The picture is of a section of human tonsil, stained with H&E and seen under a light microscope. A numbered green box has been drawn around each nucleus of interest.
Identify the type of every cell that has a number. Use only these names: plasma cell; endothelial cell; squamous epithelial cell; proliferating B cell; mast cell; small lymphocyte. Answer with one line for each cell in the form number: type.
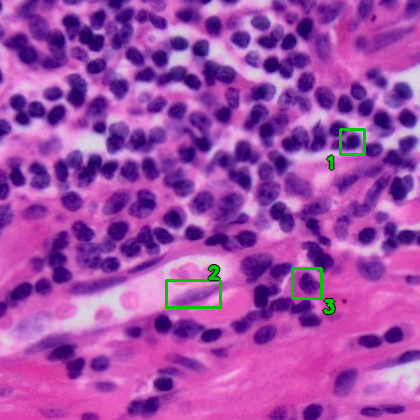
1: small lymphocyte
2: endothelial cell
3: plasma cell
